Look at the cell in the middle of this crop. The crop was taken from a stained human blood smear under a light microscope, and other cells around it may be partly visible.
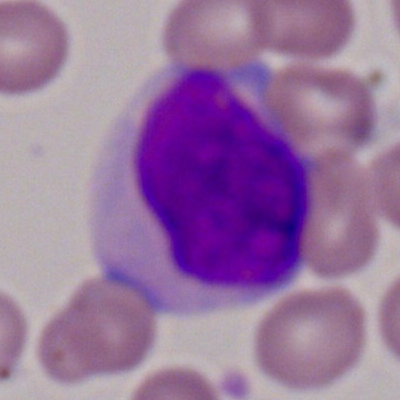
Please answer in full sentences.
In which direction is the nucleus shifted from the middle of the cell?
The nucleus lies toward the upper right of the cell.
